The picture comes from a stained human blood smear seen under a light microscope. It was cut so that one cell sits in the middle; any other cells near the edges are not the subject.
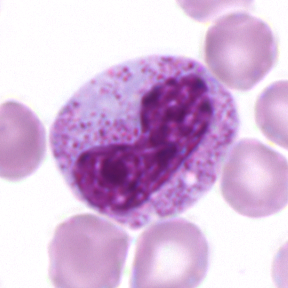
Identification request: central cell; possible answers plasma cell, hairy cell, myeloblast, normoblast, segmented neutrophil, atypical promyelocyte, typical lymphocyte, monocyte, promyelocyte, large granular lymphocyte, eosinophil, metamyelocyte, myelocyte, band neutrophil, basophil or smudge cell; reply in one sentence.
The cell in the middle of the field of view is a band neutrophil.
